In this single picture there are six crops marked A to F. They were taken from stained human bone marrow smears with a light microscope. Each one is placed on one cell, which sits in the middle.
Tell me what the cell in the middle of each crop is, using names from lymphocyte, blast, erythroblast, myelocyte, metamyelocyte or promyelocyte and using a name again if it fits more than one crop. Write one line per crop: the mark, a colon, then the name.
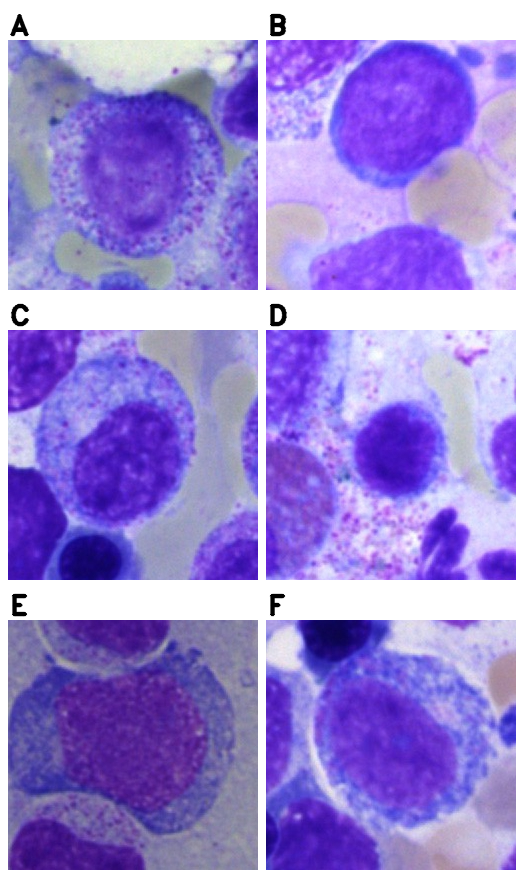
A: myelocyte
B: blast
C: promyelocyte
D: lymphocyte
E: blast
F: promyelocyte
